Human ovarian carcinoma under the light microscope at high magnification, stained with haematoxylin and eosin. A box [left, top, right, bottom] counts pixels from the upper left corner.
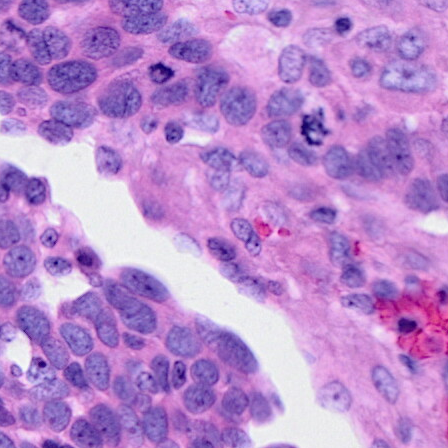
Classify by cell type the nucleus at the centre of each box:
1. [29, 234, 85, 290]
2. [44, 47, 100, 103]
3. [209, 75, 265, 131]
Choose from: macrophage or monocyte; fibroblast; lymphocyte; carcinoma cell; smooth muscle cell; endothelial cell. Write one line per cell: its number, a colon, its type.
1: macrophage or monocyte
2: carcinoma cell
3: carcinoma cell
